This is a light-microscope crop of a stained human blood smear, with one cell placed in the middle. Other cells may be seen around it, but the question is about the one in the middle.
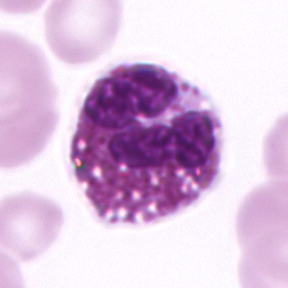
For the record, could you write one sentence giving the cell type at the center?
In the crop, the cell of interest at the centre is an eosinophil.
